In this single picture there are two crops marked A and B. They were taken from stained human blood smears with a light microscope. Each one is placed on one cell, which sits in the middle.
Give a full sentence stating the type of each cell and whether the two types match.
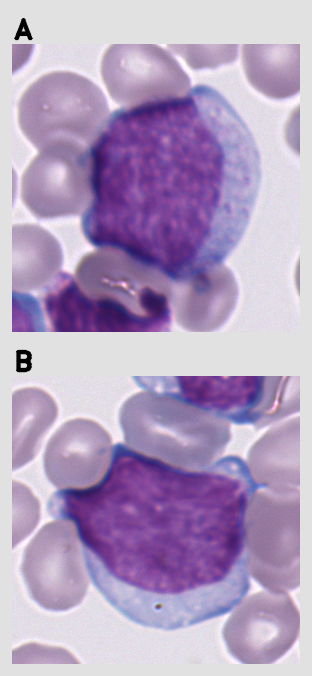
No, crop A contains a promyelocyte; a blast is what crop B contains.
